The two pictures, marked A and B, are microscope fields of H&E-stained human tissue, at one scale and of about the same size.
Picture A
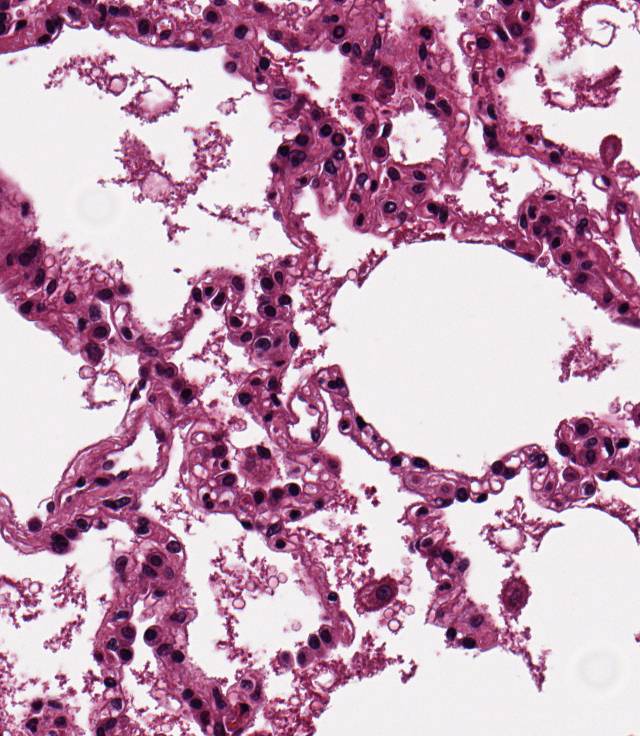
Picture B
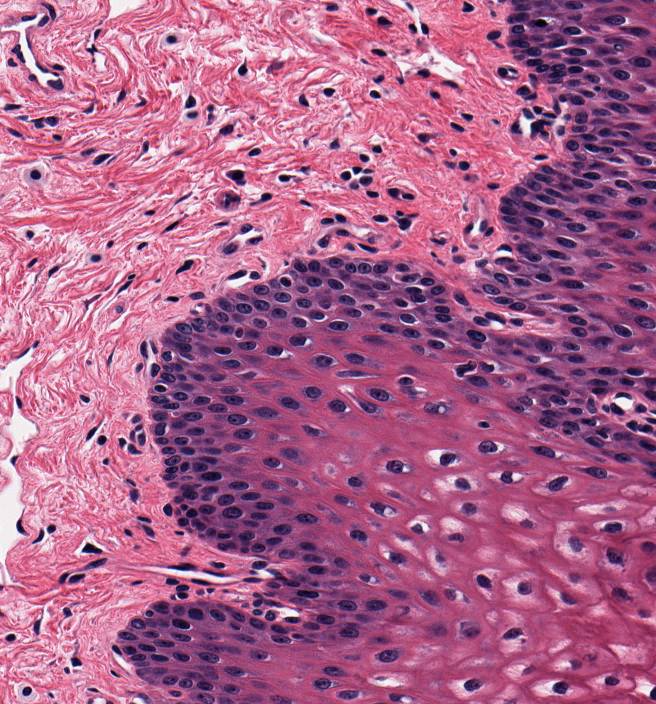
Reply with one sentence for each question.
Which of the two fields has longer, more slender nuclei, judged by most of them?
Longer, more slender nuclei lie in picture B.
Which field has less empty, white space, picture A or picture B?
Picture B has less white space.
